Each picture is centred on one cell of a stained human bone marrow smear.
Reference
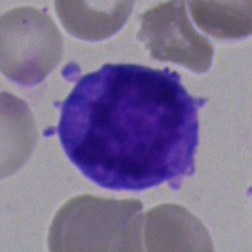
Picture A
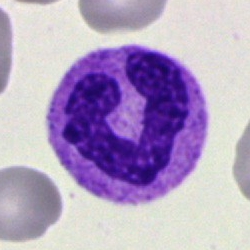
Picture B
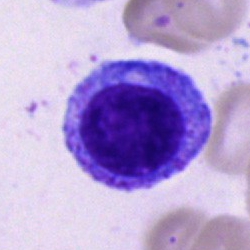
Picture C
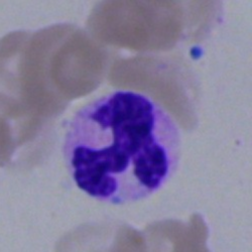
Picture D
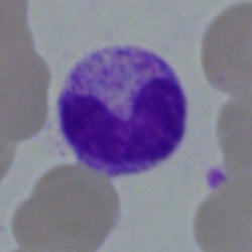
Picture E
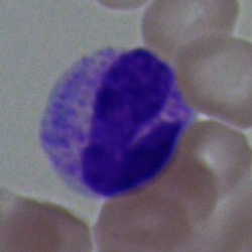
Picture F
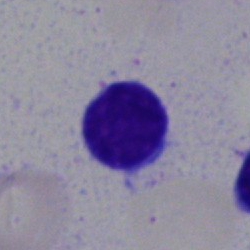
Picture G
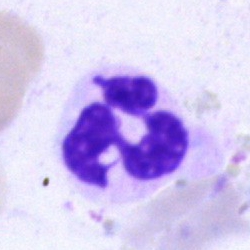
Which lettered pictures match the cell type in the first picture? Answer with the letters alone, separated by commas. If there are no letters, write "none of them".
B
